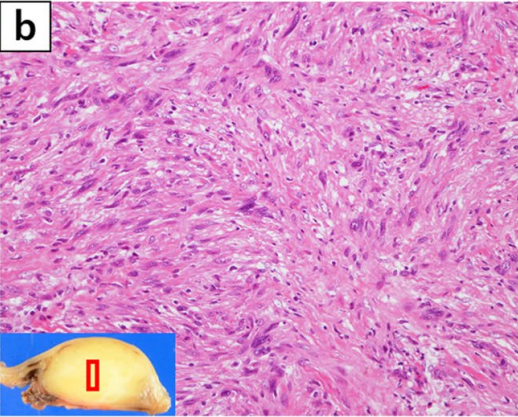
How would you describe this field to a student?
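A densely cellular tumor made of spindle-shaped cells arranged in interlacing fascicles and whorl-like streams. The nuclei are elongated to oval and crowded, and some are enlarged and darkly stained, varying in size and shape, within pink fibrillary cytoplasm.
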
